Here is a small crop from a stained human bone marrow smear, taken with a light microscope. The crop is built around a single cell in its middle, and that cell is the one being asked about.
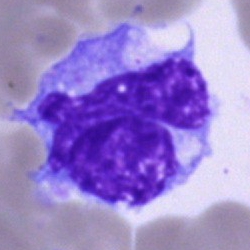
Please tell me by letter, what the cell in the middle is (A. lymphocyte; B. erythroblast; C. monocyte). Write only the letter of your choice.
C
